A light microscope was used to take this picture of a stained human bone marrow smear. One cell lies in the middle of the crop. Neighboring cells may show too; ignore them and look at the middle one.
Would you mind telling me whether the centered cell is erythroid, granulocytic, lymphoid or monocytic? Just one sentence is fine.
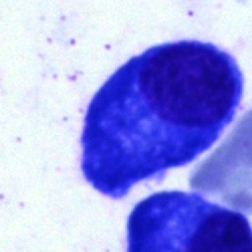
The central cell derives from the lymphoid lineage.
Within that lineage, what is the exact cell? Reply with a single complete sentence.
The crop's centre is taken up by a plasma cell.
